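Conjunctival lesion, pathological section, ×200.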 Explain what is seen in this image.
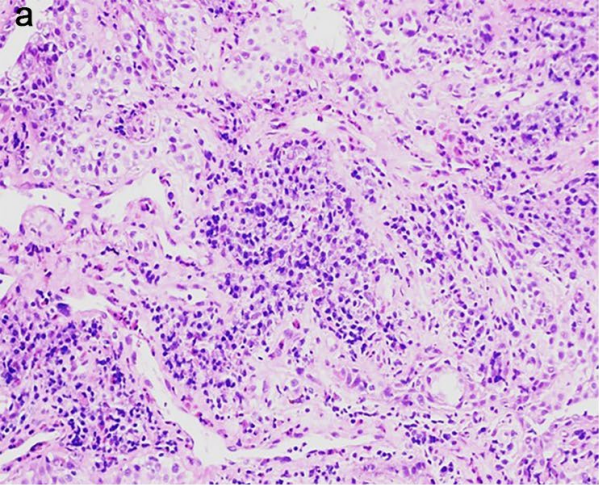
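The epithelial cells are polygonal, with pale pink cytoplasm and round to oval nuclei, and lie in groups at the edges of the field. In the centre, a crowded cluster of small round cells with dark purple nuclei and scant cytoplasm fills the stroma; similar cells are scattered among the epithelial nests. Between the groups lies pale pink fibrous stroma with elongated spindle-shaped nuclei and a few small vessels.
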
